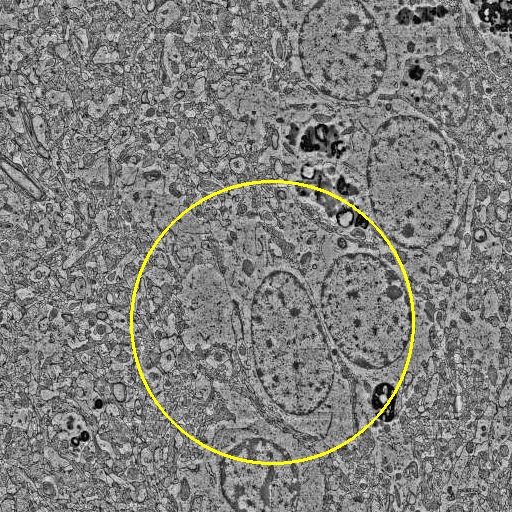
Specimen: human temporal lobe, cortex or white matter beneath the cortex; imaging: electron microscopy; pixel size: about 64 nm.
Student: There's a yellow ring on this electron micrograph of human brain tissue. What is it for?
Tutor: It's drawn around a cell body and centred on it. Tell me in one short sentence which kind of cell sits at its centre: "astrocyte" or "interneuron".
The cell at the centre of the ring is an astrocyte.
